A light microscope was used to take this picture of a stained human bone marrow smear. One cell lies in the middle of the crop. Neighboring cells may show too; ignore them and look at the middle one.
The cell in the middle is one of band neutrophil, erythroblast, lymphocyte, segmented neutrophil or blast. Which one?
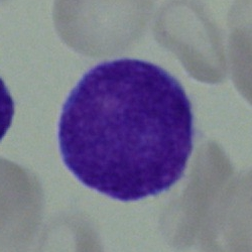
blast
